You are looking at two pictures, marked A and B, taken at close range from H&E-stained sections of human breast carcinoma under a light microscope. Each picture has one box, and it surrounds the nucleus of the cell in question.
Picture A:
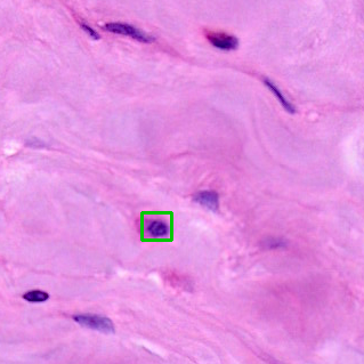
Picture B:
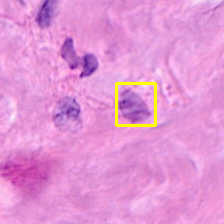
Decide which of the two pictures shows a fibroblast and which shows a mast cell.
A: mast cell
B: fibroblast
